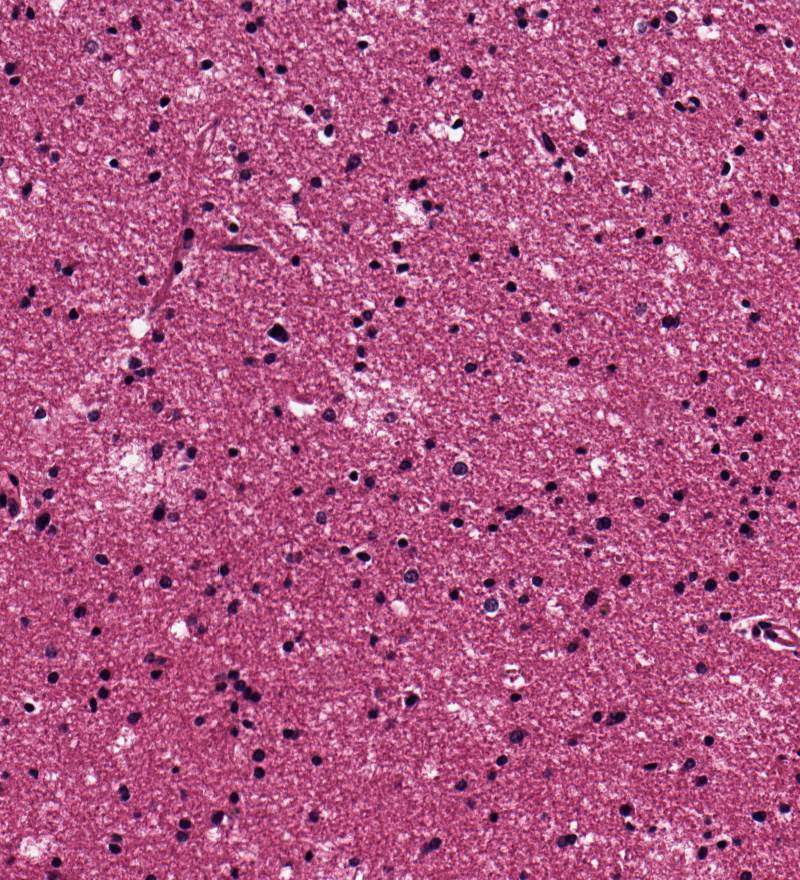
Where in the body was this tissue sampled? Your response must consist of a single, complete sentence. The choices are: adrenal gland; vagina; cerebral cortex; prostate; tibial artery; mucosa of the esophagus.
The sample was taken from the cerebral cortex.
